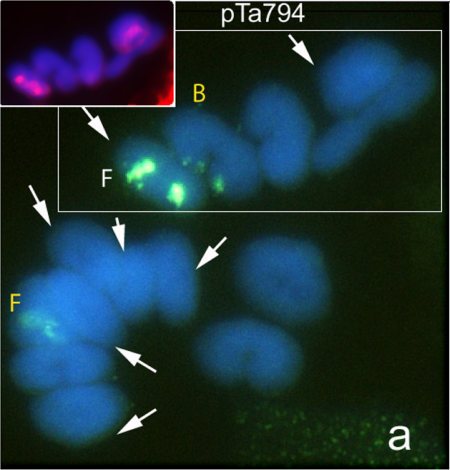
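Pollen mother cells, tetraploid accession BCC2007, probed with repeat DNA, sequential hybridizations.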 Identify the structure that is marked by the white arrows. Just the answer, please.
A: Bivalents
